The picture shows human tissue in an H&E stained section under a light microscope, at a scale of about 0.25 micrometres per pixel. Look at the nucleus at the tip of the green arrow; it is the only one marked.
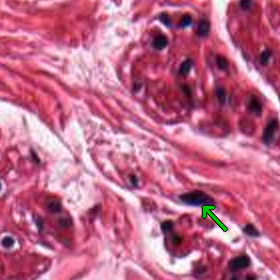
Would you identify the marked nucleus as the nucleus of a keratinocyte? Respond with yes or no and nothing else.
no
